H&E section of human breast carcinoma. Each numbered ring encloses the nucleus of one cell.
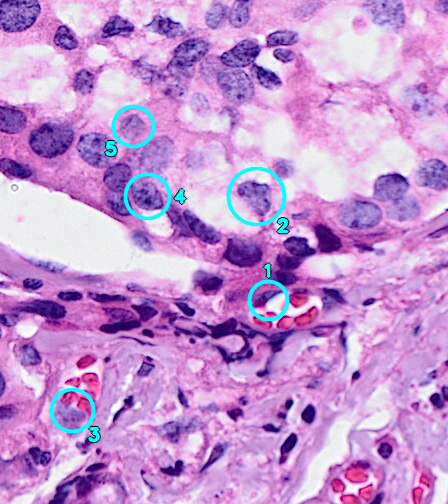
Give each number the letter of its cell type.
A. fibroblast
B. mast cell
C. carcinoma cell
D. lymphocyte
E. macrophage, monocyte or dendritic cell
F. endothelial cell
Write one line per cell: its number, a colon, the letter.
1: F
2: C
3: F
4: C
5: C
